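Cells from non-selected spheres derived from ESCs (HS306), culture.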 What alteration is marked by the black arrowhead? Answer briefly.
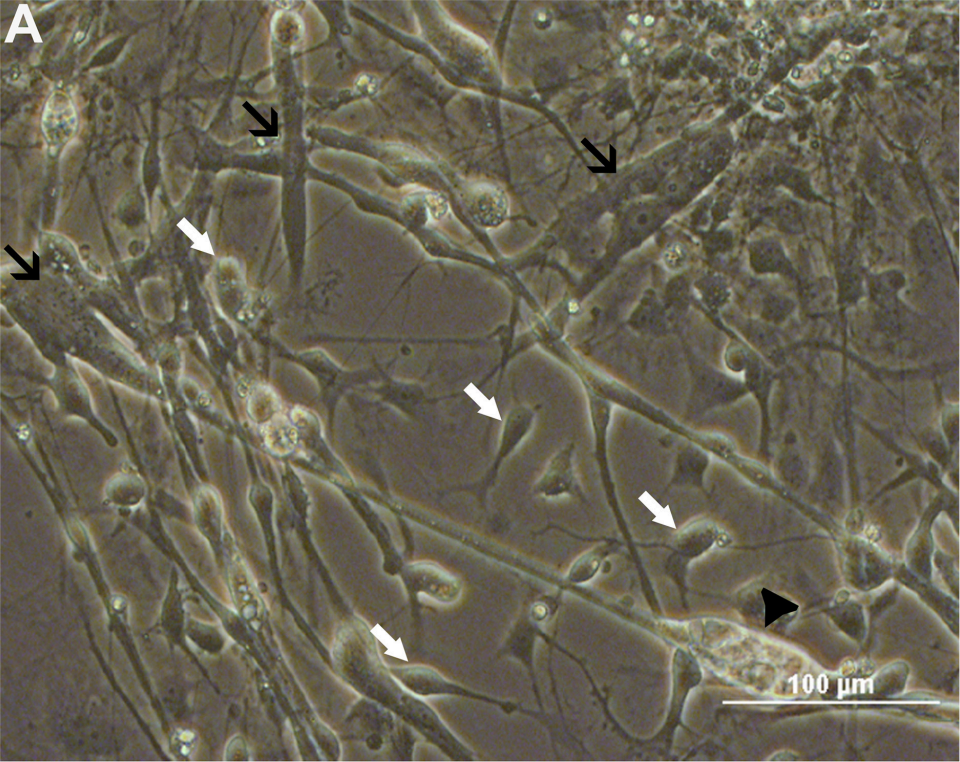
detachment and further degeneration of the myotube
